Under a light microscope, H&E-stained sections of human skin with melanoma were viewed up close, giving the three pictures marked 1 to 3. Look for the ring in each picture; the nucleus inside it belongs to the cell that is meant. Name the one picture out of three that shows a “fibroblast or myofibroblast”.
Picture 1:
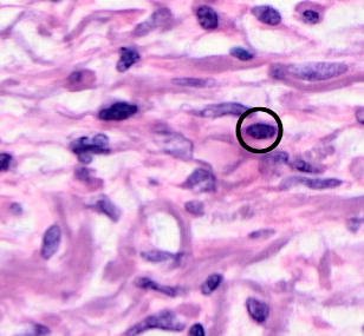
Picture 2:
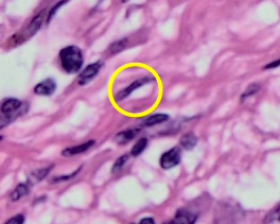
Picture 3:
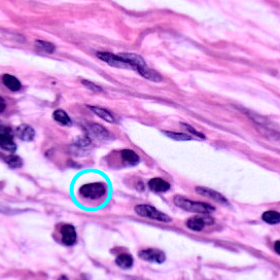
2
